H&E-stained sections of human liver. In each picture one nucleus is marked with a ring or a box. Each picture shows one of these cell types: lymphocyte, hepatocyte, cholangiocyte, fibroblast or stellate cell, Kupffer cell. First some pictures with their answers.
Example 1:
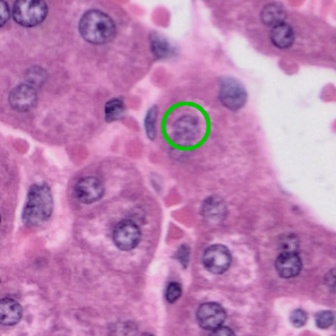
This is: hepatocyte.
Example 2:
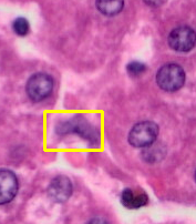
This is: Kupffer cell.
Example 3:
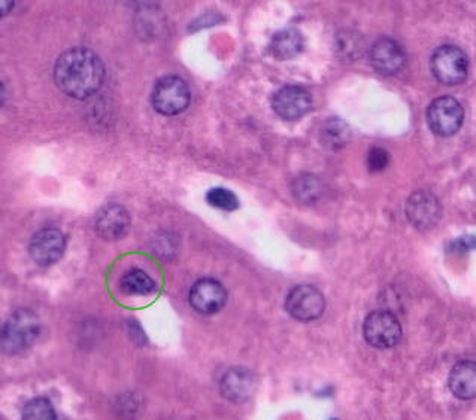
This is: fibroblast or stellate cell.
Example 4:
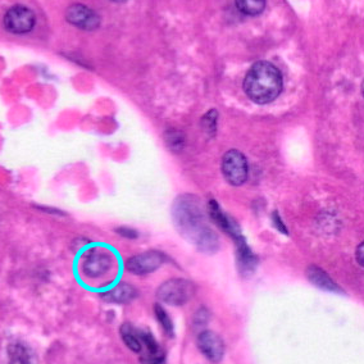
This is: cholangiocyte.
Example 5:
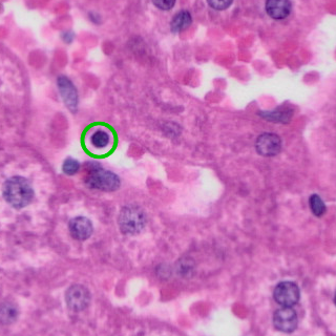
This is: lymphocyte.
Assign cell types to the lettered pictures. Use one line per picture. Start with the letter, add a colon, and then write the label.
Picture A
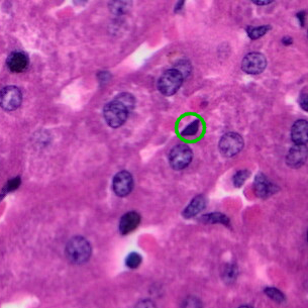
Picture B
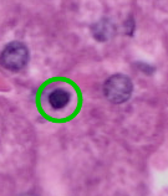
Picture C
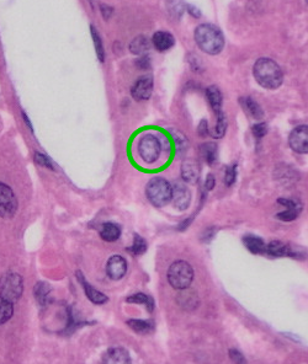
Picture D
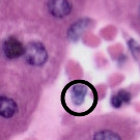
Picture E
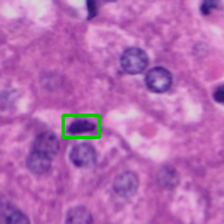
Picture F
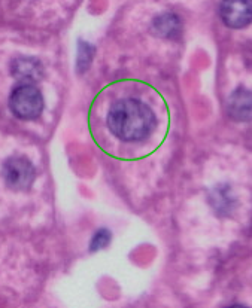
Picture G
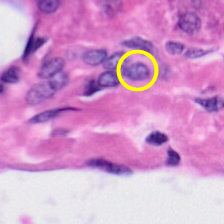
A: fibroblast or stellate cell.
B: lymphocyte.
C: cholangiocyte.
D: lymphocyte.
E: fibroblast or stellate cell.
F: hepatocyte.
G: cholangiocyte.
